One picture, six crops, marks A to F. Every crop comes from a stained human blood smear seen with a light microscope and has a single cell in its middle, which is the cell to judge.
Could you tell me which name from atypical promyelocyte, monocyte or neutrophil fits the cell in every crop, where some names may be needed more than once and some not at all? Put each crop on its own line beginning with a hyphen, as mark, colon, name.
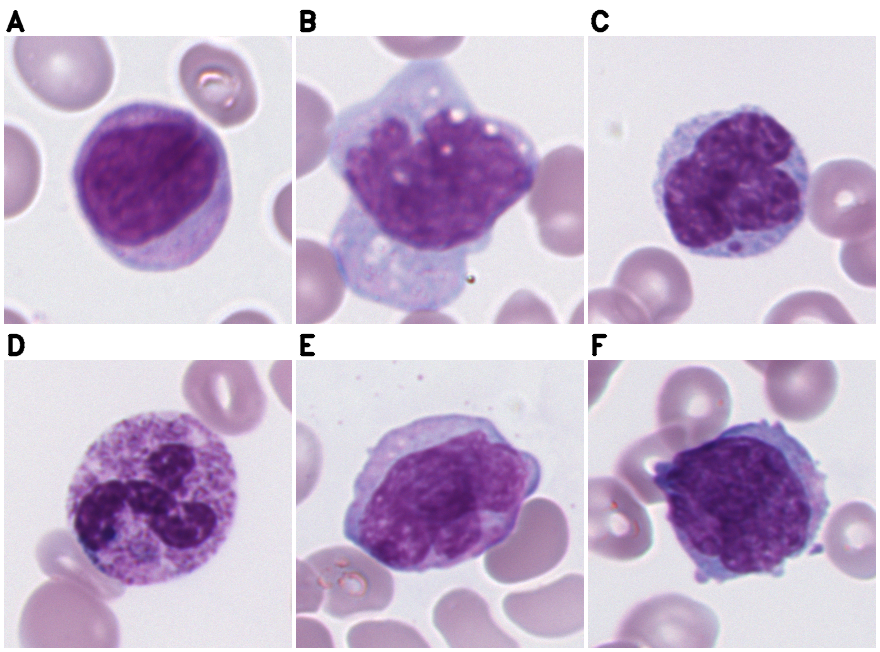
- A: atypical promyelocyte
- B: monocyte
- C: monocyte
- D: neutrophil
- E: atypical promyelocyte
- F: atypical promyelocyte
